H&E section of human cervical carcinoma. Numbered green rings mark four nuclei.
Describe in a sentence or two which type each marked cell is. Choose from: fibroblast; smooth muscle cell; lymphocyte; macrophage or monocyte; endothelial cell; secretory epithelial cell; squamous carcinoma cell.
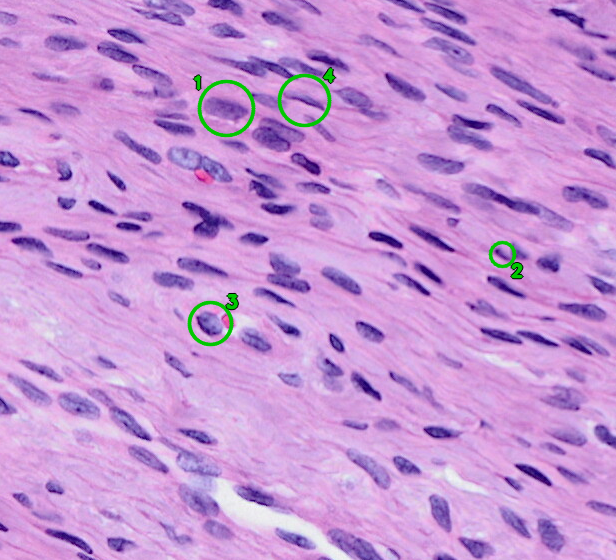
Cells 1, 2 and 4 are fibroblasts. Cell 3 is an endothelial cell.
